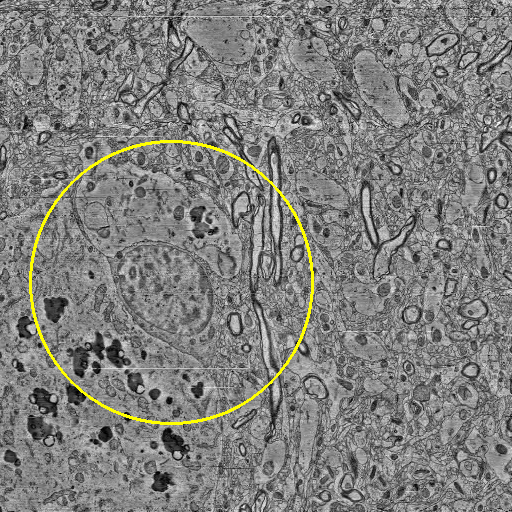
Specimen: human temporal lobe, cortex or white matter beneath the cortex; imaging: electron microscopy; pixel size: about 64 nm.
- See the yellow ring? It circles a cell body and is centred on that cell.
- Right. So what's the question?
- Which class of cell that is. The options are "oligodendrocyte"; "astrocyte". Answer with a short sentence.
The centre of the ring holds an oligodendrocyte.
